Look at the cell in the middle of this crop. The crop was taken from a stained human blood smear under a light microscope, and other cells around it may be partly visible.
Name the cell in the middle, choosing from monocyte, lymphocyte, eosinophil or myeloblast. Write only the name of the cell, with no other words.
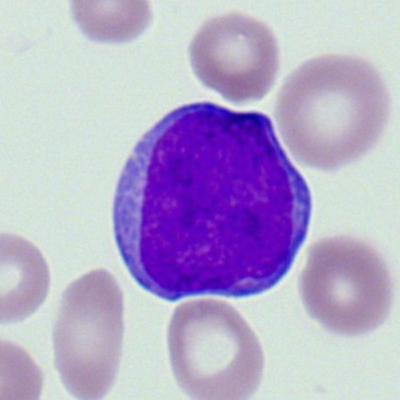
myeloblast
